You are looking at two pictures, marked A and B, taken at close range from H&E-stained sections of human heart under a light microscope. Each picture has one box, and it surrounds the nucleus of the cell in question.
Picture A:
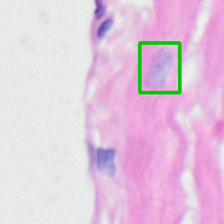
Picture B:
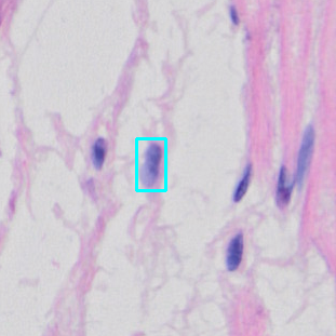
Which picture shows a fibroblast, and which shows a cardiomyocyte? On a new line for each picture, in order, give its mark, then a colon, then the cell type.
A: cardiomyocyte
B: fibroblast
